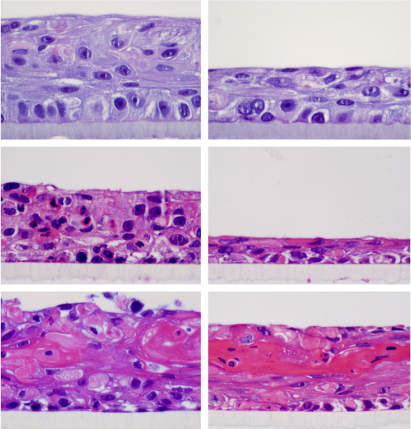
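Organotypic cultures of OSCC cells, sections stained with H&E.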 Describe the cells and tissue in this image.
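Six frames show a stratified layer of epithelial cells sitting on a pale, faintly ridged support. The cells are polygonal, with large, dark purple, round to oval nuclei and pale to pink cytoplasm. Cell size and nuclear shape vary, and the cells are crowded and disorderly rather than maturing neatly toward the surface. In some frames the layer is many cells thick; in others it is thin, only a few cells deep. In the bottom frames, broad sheets of deeply eosinophilic, glassy pink material lie among the cells, with flattened cells beside them.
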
